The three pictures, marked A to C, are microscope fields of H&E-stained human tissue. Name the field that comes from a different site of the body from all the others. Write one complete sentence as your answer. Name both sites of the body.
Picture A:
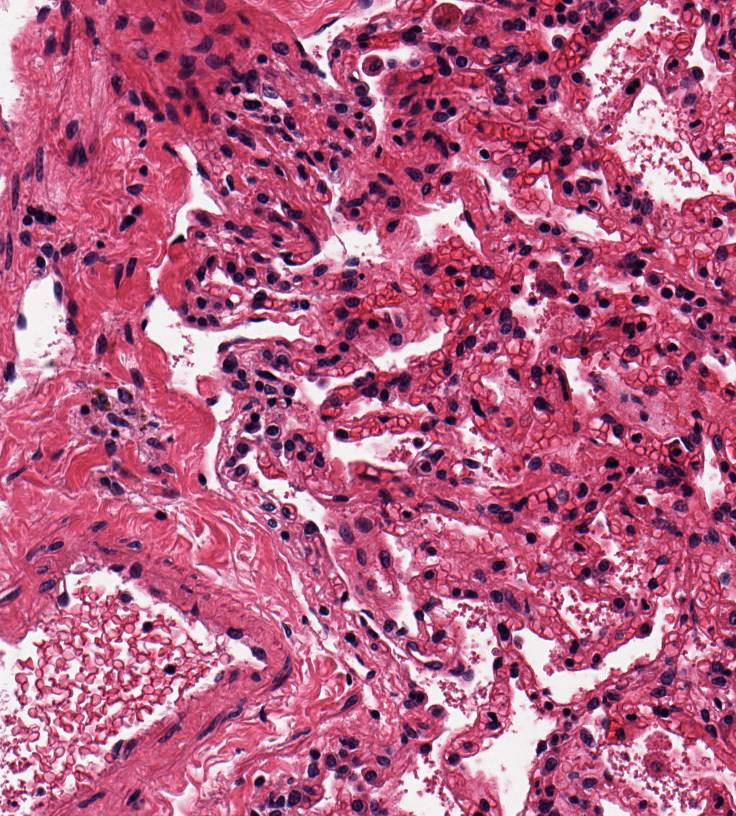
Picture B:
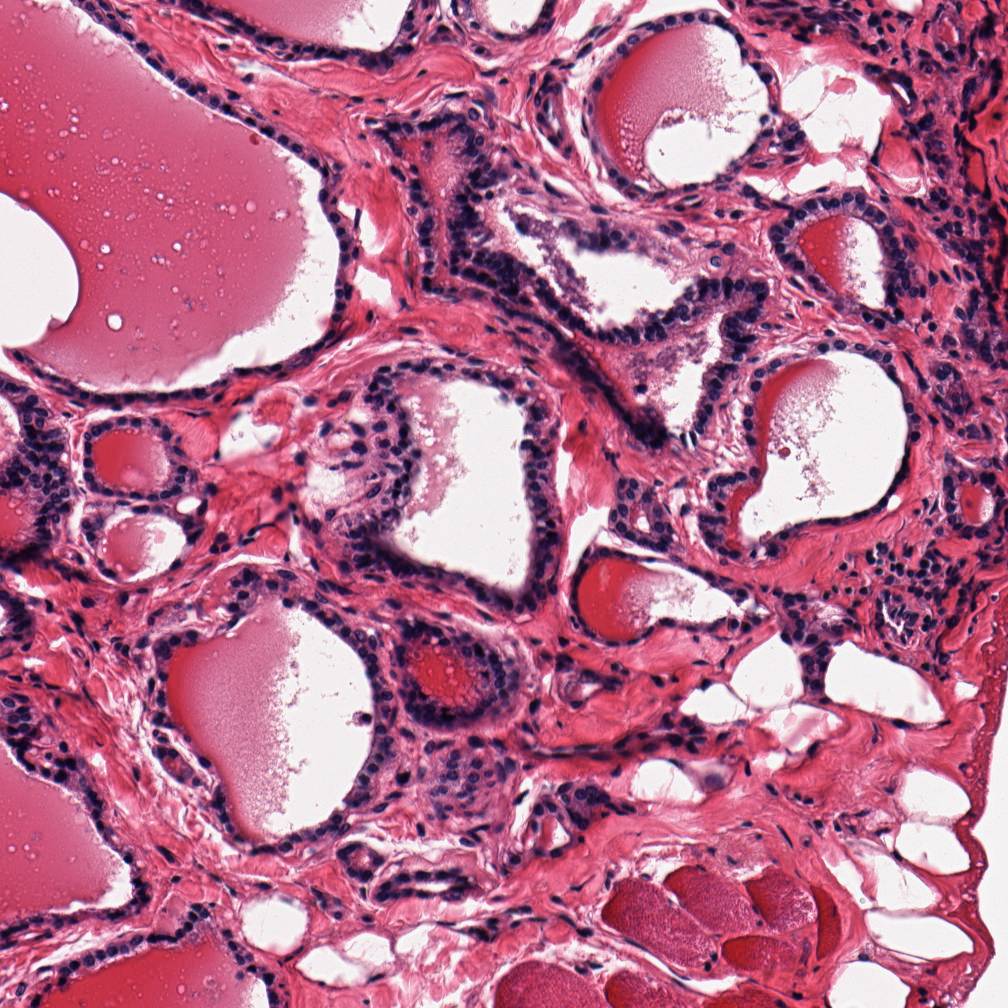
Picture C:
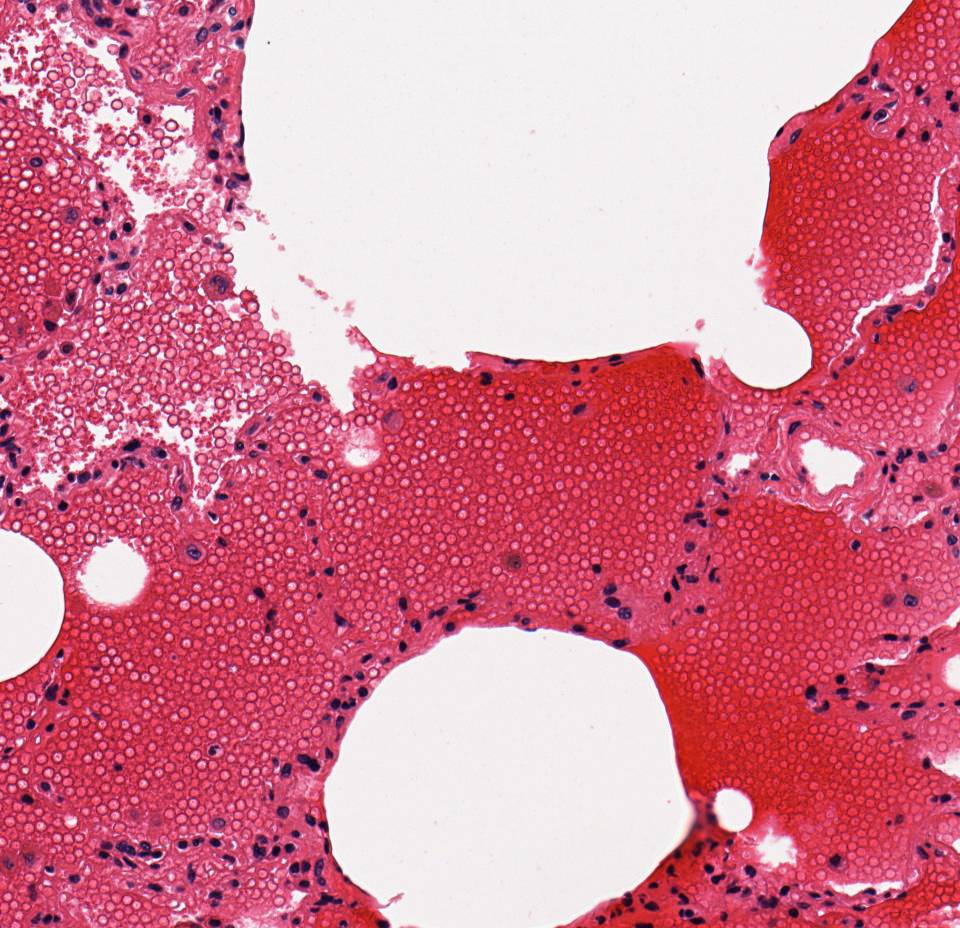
Unlike the rest, which come from the lung, picture B comes from the thyroid.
